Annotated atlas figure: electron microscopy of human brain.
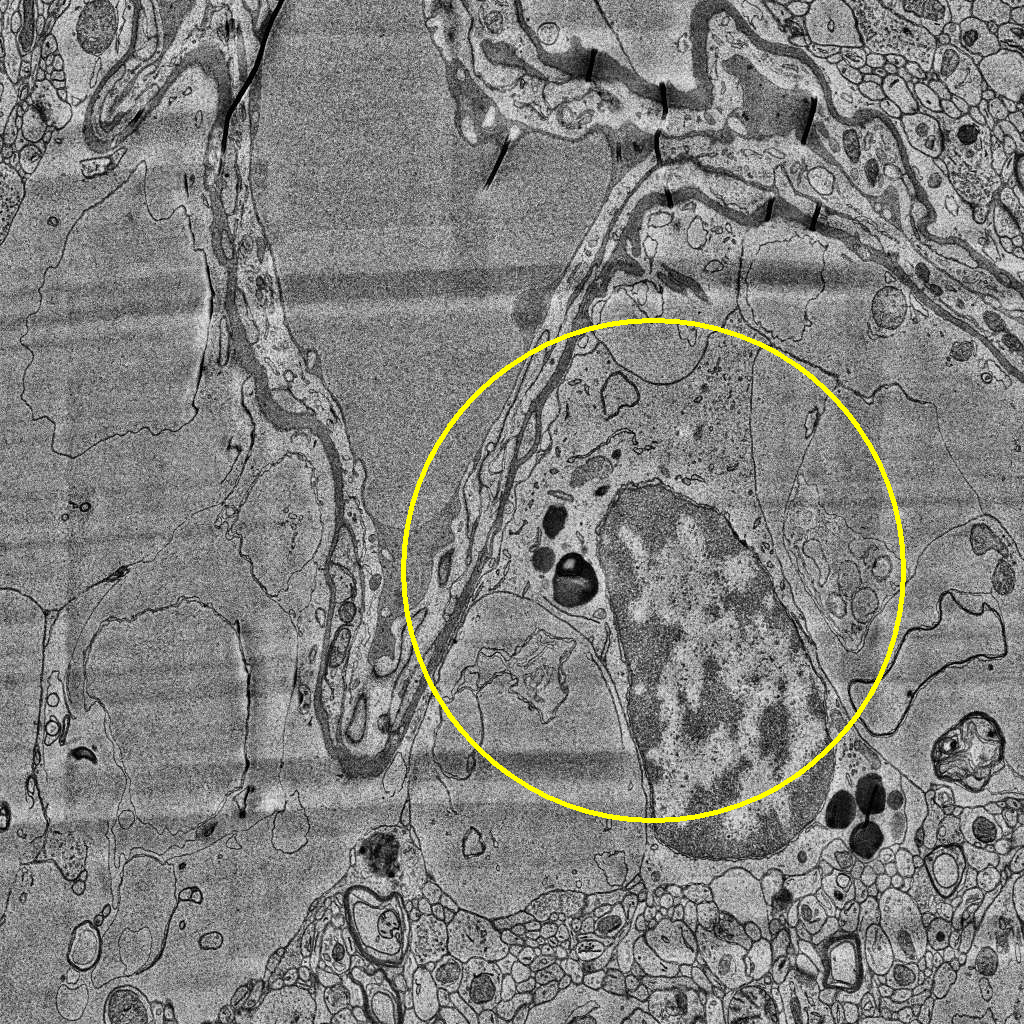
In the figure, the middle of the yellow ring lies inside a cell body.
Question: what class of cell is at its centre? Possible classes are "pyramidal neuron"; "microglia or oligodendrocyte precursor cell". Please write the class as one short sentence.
The yellow ring's centre lies in a microglial cell or oligodendrocyte precursor cell.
